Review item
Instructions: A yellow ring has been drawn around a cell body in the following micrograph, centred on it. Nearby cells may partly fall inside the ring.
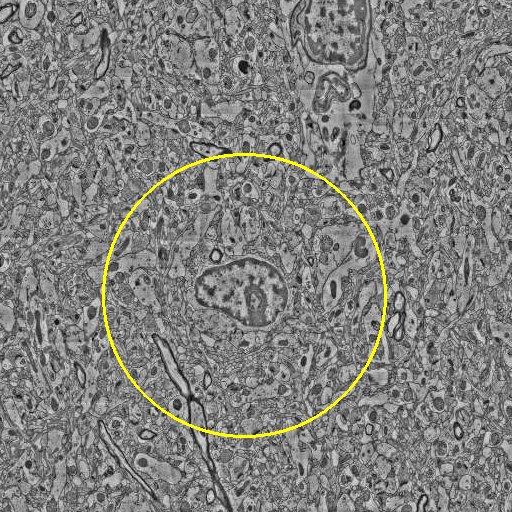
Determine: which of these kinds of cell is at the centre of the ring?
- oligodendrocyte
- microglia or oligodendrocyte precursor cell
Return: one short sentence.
The cell body in the middle of the ring is that of a microglial cell or oligodendrocyte precursor cell.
